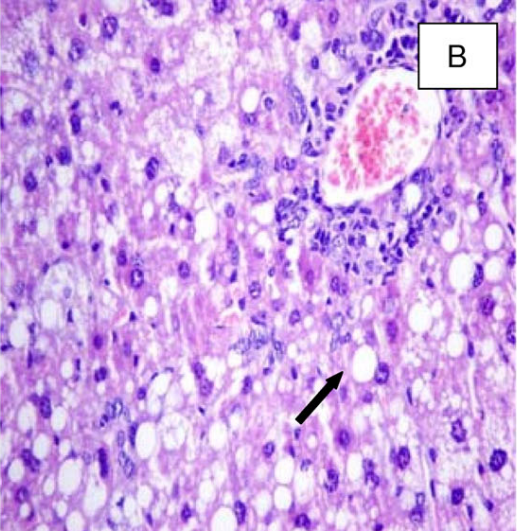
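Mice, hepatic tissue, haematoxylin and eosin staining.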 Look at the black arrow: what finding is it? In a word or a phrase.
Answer: Hepatocyte lipid inclusion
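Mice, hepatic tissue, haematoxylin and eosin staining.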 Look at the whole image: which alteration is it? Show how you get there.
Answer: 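Periportal inflammatory infiltrates. A dense cluster of small, dark, round nuclei surrounds a vessel filled with red blood cells. The cluster stands out darker than the surrounding liver cell plates.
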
